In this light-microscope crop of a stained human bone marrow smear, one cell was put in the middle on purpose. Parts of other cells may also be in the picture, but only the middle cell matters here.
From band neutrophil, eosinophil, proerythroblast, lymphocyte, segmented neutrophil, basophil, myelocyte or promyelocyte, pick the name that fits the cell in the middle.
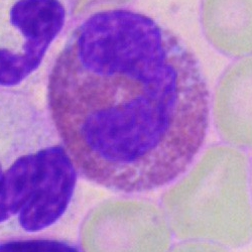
eosinophil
